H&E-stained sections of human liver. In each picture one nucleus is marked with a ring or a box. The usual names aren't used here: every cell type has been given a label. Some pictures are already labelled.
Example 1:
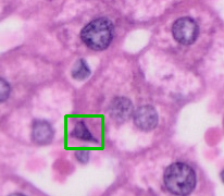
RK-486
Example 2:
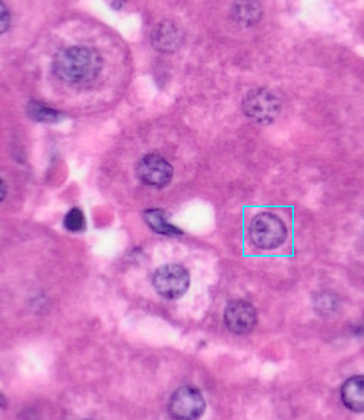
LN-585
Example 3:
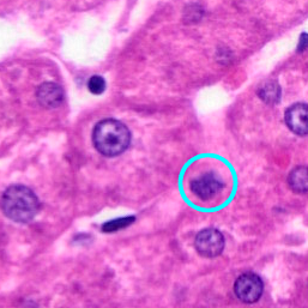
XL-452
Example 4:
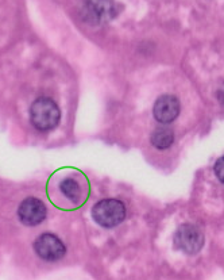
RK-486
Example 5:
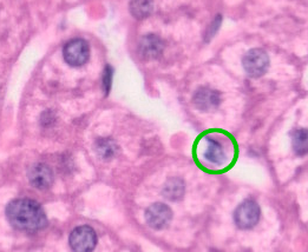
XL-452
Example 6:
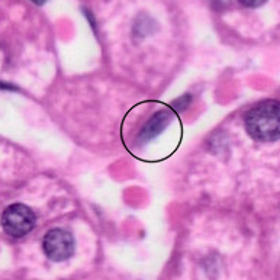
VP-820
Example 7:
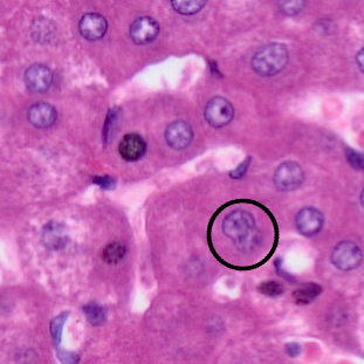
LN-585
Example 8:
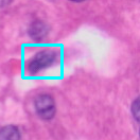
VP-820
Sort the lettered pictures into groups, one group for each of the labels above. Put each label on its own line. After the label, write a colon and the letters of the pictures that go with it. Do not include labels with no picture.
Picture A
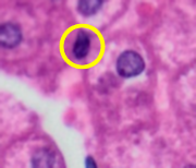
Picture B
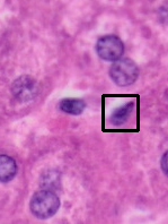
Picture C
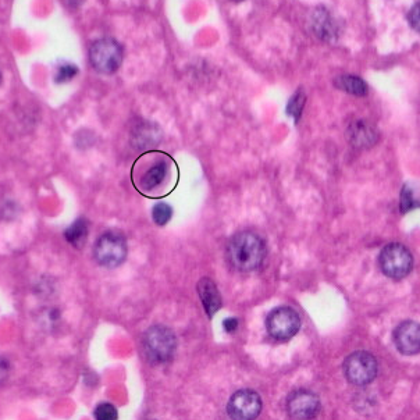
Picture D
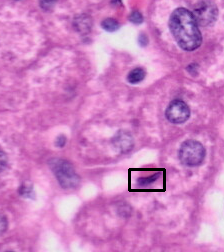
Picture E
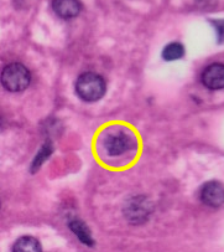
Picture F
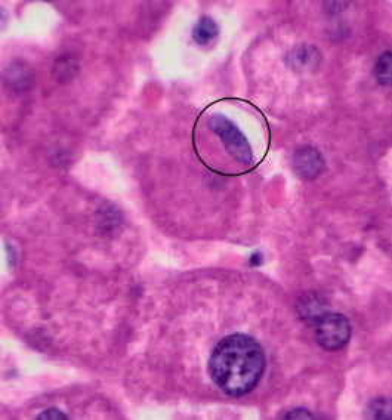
RK-486: A, E
XL-452: B, D
VP-820: C, F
